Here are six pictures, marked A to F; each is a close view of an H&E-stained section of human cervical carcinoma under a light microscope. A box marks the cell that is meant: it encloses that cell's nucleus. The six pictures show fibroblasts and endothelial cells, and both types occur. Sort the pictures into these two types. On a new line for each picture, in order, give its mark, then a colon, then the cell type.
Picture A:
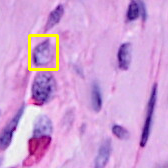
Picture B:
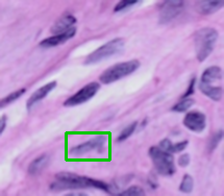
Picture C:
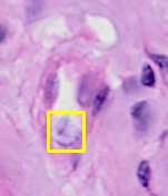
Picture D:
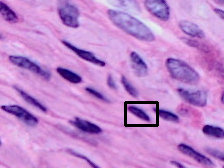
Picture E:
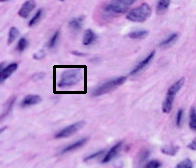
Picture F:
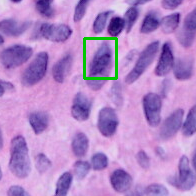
A: endothelial cell
B: fibroblast
C: endothelial cell
D: fibroblast
E: fibroblast
F: fibroblast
